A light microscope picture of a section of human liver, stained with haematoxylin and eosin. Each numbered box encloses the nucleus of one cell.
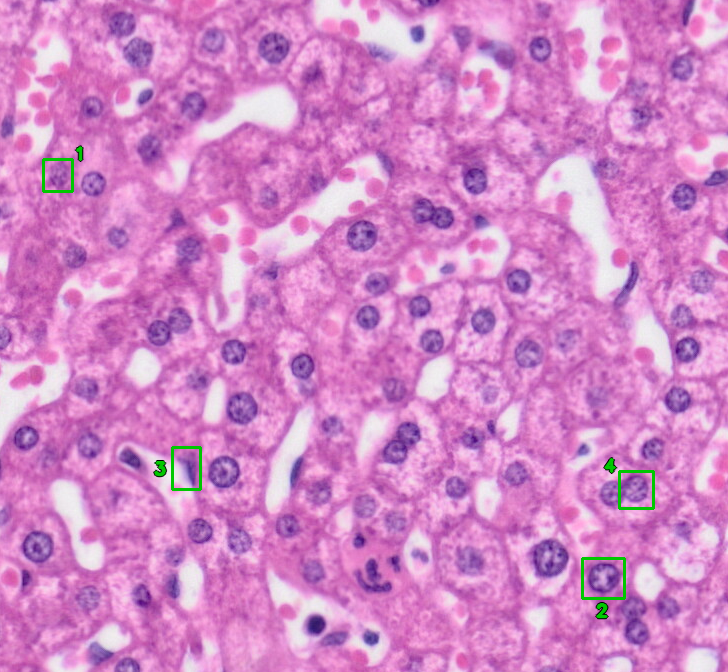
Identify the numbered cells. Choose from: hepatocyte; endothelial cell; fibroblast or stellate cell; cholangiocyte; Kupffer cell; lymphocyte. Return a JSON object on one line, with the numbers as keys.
{"1": "hepatocyte", "2": "hepatocyte", "3": "endothelial cell", "4": "hepatocyte"}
